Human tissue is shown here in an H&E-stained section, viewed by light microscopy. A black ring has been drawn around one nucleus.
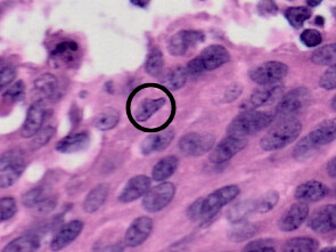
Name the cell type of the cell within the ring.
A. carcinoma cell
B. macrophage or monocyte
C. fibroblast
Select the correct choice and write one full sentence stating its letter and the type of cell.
Option B is the one that fits, as the cell within the ring is a macrophage or monocyte.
